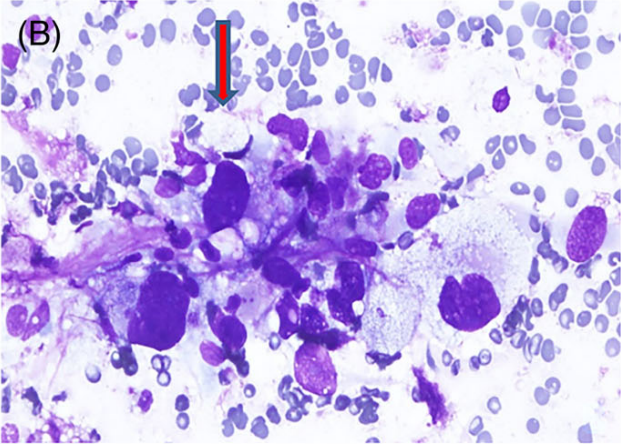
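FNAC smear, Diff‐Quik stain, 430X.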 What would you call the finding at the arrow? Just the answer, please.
lipoblastic differentiation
